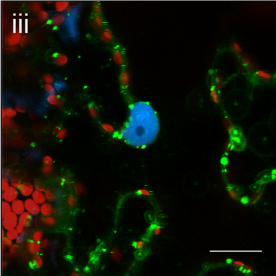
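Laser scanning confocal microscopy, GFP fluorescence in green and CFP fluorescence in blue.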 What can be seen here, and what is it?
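The same field of lobed, interlocking leaf epidermal cells is seen in overlay. Thin green rims of cytoplasm outline the wavy cell borders, studded with bright green dots. In the middle, a round blue body with a darker spot inside sits against the green rim, and green dots gather around its edge without overlapping its inside. To the lower left lies a cluster of round red bodies, and a few more small red bodies are scattered along the cell edges beside green dots. The cell interiors are largely dark, with the cytoplasm confined to a thin layer at the periphery.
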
